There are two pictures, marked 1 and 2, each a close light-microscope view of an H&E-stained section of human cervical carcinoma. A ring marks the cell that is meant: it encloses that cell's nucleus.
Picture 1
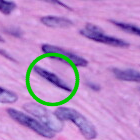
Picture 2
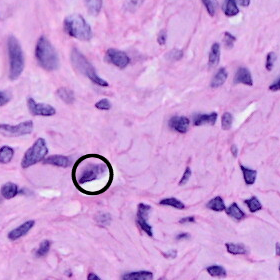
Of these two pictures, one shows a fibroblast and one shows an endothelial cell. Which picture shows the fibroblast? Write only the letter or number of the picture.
1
